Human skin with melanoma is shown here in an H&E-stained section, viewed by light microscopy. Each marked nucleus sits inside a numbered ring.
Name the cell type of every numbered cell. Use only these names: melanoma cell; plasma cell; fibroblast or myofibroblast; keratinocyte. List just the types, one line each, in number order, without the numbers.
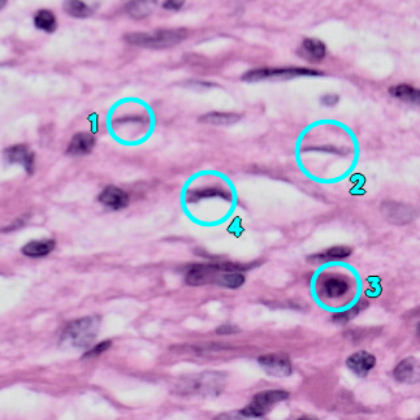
fibroblast or myofibroblast
fibroblast or myofibroblast
plasma cell
fibroblast or myofibroblast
